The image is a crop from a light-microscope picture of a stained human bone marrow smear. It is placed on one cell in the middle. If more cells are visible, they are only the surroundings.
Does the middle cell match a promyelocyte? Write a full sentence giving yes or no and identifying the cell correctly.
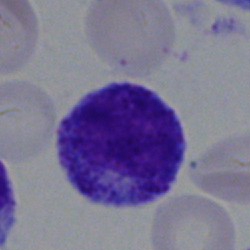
Yes, the cell in the central position is a promyelocyte.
